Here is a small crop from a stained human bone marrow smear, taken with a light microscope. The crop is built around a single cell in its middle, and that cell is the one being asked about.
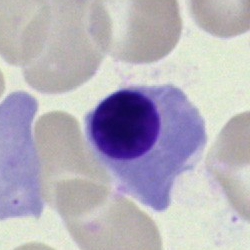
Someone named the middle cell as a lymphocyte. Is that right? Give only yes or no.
no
